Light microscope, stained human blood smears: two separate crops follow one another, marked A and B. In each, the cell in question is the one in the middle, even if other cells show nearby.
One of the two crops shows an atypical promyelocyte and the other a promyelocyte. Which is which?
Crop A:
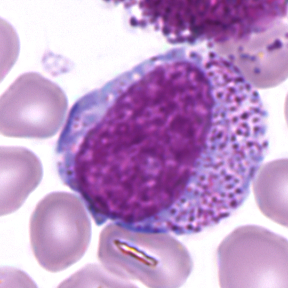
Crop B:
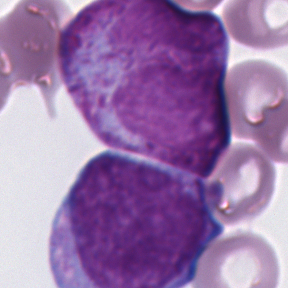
A: promyelocyte
B: atypical promyelocyte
